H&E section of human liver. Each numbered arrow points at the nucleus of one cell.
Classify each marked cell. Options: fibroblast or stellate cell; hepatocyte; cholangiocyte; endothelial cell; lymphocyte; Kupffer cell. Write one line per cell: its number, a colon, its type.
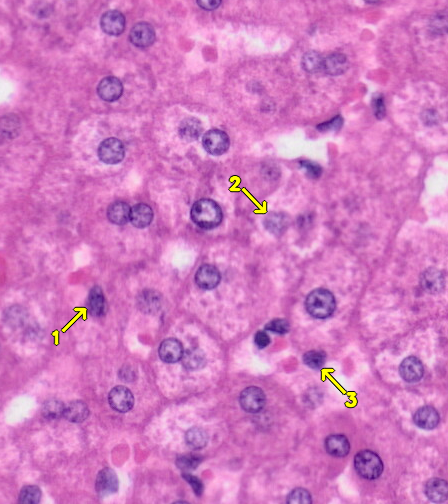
1: fibroblast or stellate cell
2: hepatocyte
3: fibroblast or stellate cell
